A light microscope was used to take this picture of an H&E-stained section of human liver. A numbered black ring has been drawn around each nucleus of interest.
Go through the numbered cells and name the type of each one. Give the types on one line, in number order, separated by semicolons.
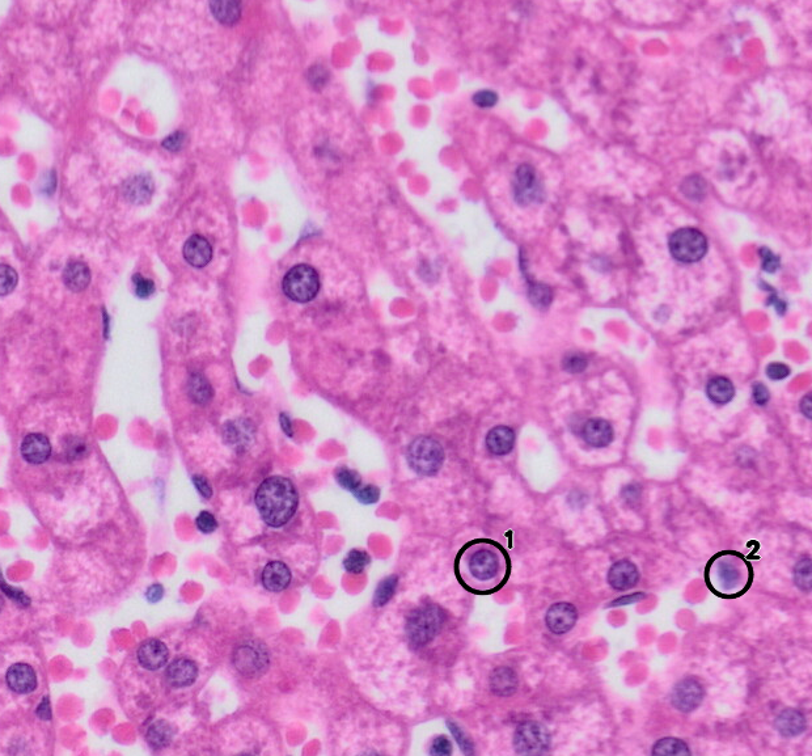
hepatocyte; endothelial cell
